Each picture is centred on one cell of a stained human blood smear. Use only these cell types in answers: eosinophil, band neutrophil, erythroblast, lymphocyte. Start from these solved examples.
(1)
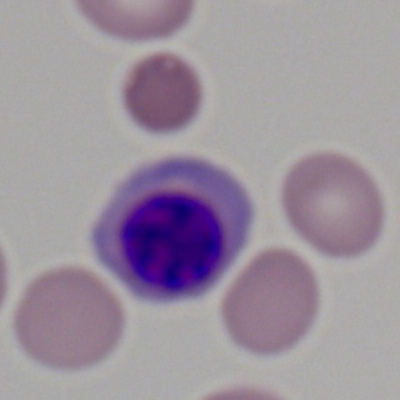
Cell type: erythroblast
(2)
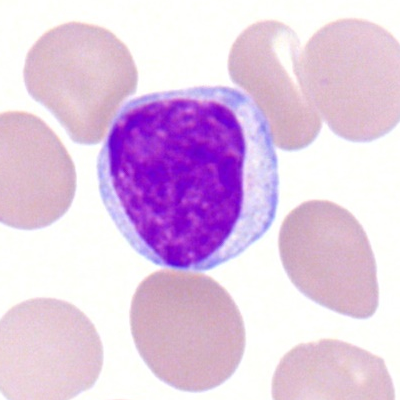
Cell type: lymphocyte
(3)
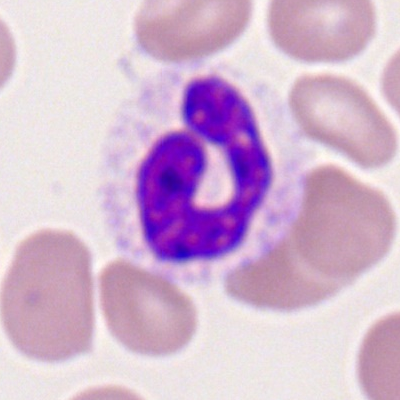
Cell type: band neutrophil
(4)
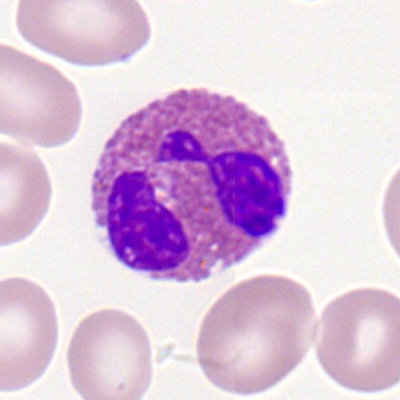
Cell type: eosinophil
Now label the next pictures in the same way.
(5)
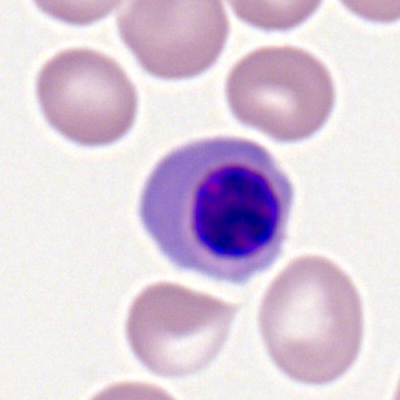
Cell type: erythroblast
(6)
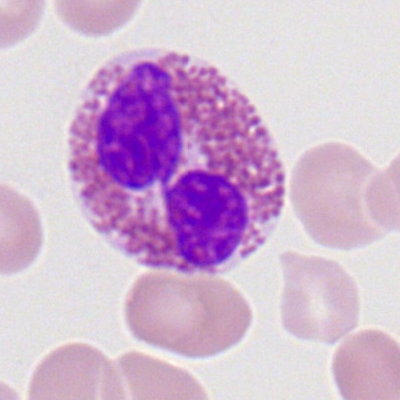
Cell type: eosinophil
